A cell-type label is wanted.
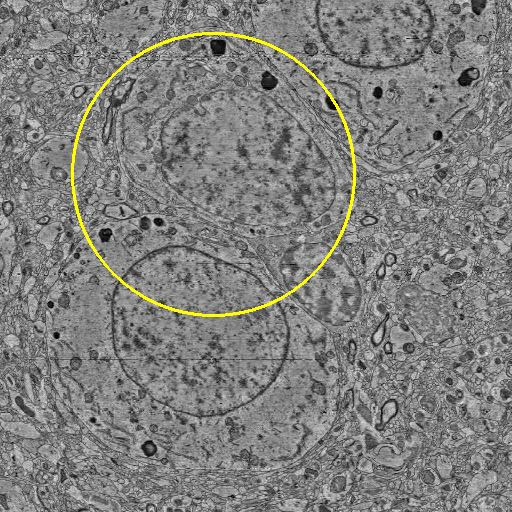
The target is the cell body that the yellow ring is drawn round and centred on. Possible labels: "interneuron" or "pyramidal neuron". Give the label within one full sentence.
Of the labels offered, the cell in the middle of the yellow ring is an interneuron.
